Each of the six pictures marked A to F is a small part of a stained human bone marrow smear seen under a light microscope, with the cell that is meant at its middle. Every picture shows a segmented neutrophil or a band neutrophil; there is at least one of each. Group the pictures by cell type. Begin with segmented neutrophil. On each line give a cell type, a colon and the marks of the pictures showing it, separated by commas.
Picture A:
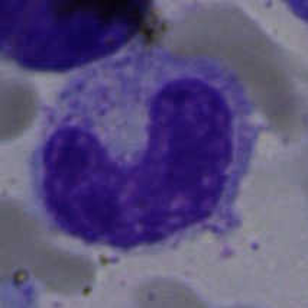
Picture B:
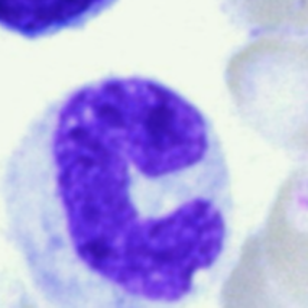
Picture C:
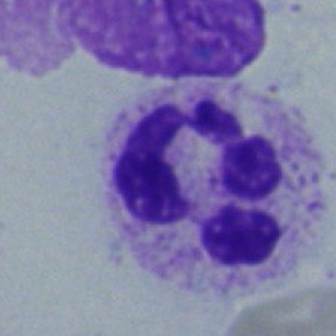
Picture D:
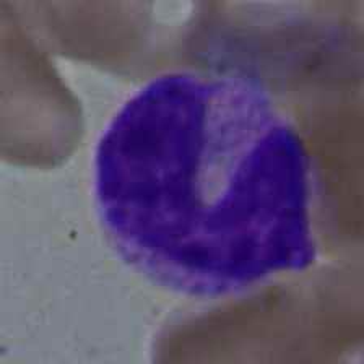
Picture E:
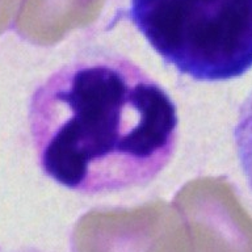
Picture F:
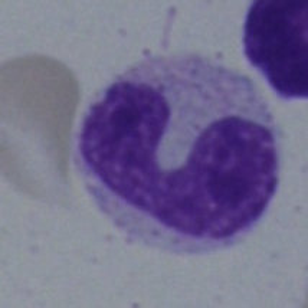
segmented neutrophil: C, E
band neutrophil: A, B, D, F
